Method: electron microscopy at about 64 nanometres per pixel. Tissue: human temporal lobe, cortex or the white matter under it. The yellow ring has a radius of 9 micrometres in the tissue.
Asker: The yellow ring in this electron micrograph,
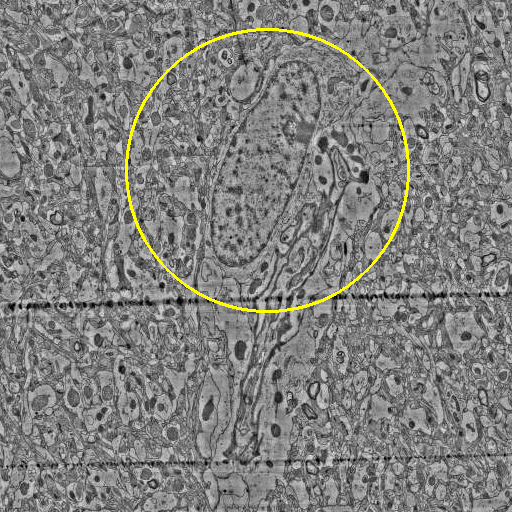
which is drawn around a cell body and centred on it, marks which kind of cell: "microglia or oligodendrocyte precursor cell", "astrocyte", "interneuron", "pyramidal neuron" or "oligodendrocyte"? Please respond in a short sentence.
The marked cell is a microglial cell or oligodendrocyte precursor cell.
